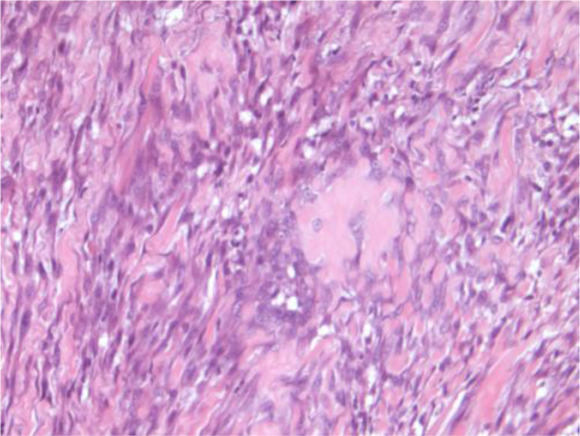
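Highly cellular malignant tumor with pink matrix deposition. Crowded cells with irregular, darkly stained nuclei of varying size form a dense sheet, partly arranged in streaming fascicles. Eosinophilic strands of collagen-like material run between the cells. Near the centre lies a pale pink, glassy patch of matrix with a few cells at and within its border, surrounded by densely packed atypical cells. Small clear spaces are scattered through the tissue.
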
